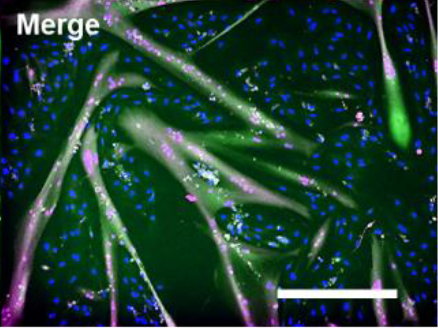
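This is a culture of differentiating muscle precursor cells in which many long, multinucleated myotubes have formed. The green tubes are broad, elongated and often tapered at their ends, some branching, and they criss-cross the field in several directions. Inside them lie chains of nuclei, many of which carry the magenta stain and look pale pink where the colours overlap. Some small bright fragments of stain also speckle the background.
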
